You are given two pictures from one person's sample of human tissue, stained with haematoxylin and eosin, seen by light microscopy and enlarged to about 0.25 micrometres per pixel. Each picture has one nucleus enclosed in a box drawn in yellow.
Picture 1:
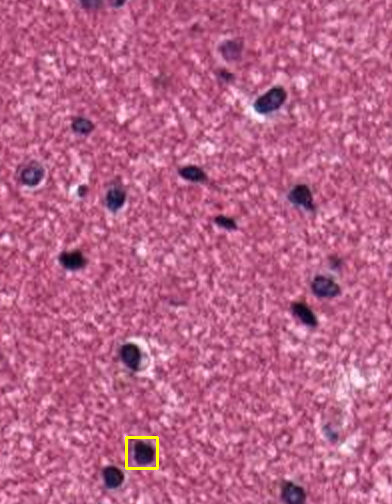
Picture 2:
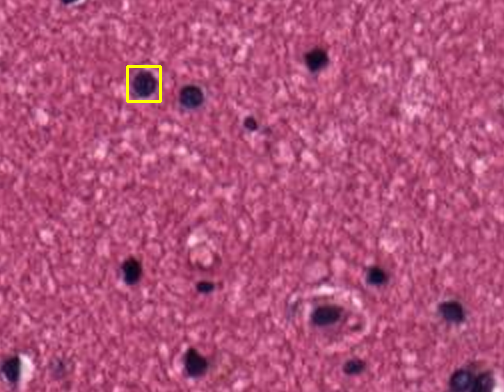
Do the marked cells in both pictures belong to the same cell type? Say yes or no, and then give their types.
Yes, both are oligodendrocytes.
